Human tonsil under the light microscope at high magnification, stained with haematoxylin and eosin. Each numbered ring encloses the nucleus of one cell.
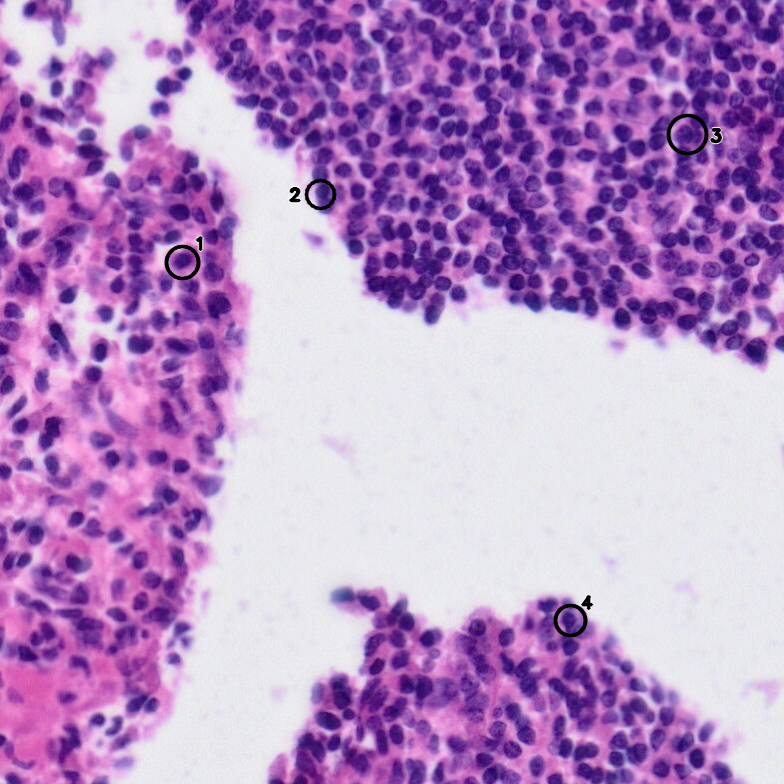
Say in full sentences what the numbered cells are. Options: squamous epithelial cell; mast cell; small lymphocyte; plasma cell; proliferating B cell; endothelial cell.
Cell 1 is a plasma cell, cell 2 is a small lymphocyte, cell 3 is a small lymphocyte and cell 4 is a small lymphocyte.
